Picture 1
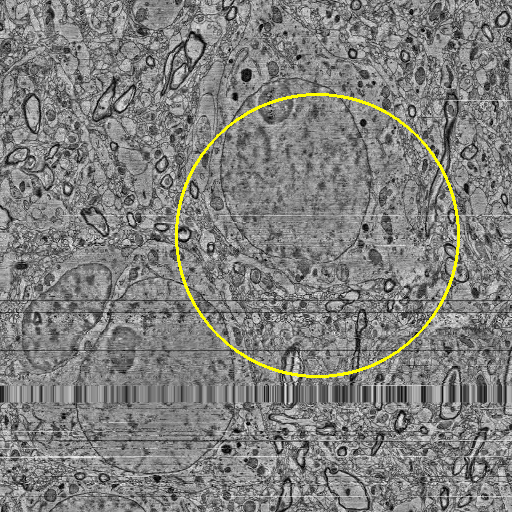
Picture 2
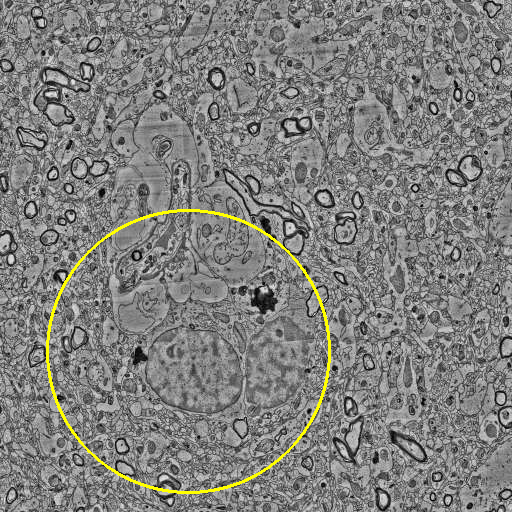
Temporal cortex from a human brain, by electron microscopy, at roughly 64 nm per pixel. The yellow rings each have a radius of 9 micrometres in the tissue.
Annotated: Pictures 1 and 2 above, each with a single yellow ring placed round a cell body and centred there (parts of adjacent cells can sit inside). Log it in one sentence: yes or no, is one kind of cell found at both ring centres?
No, the ring centres of the two pictures hold cells of two kinds.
